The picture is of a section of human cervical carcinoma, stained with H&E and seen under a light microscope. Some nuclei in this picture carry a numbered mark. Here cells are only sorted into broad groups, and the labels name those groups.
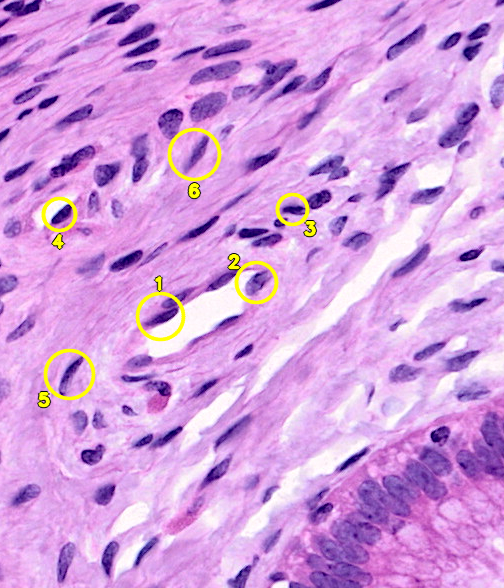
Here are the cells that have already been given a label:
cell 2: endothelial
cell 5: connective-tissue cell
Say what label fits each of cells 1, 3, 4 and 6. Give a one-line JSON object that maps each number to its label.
{"1": "endothelial", "3": "connective-tissue cell", "4": "endothelial", "6": "connective-tissue cell"}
